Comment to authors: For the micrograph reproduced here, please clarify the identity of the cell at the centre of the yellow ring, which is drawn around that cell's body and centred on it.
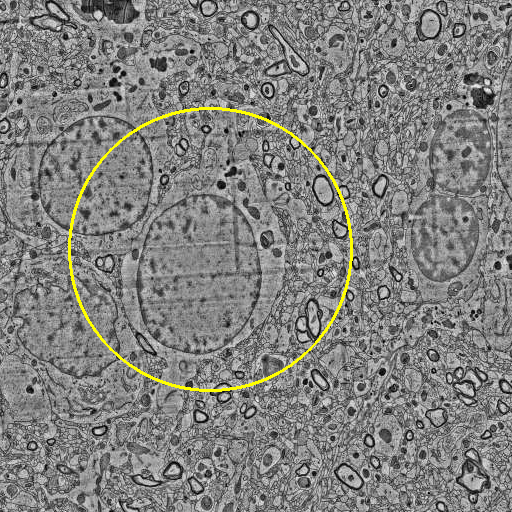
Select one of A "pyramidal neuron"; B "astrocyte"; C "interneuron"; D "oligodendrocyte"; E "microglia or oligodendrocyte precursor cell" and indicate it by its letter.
B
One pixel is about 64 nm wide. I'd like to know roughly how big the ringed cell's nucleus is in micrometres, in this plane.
Approximately 10 x 8 micrometres in this plane.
